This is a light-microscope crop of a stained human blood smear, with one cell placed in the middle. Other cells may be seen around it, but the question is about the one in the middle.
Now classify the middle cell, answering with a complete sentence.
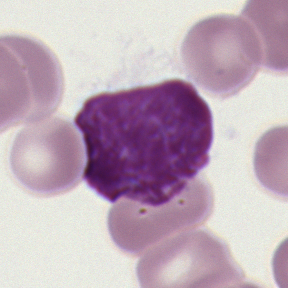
Answering briefly, the cell in the middle is a smudge cell.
